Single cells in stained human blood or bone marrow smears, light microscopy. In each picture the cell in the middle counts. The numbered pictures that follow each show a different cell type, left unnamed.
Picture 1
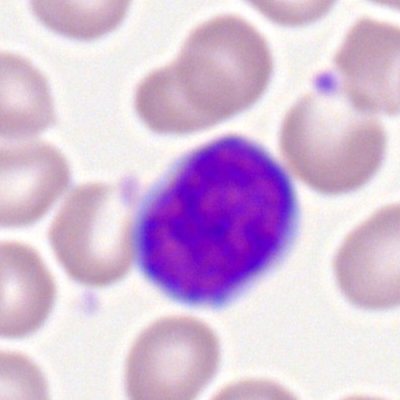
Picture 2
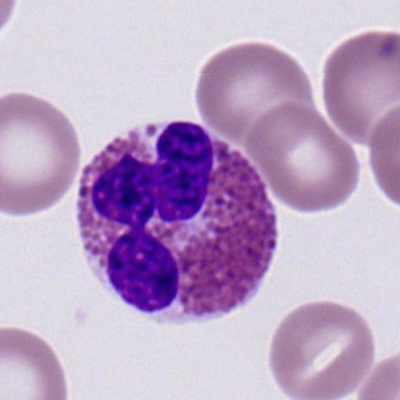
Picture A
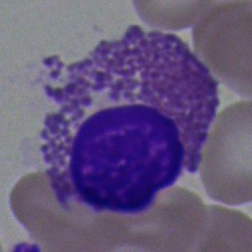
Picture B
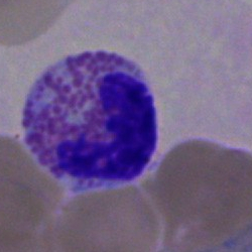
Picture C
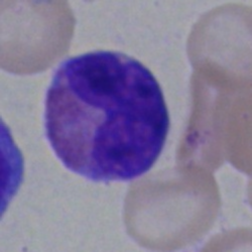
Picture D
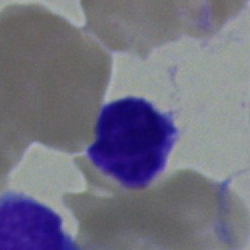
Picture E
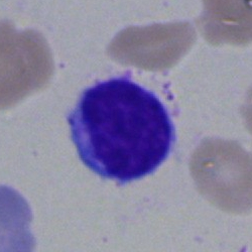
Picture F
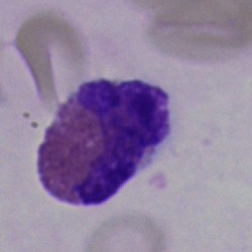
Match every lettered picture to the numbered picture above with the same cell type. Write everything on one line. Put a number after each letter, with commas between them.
A 2, B 2, C 2, D 1, E 1, F 2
